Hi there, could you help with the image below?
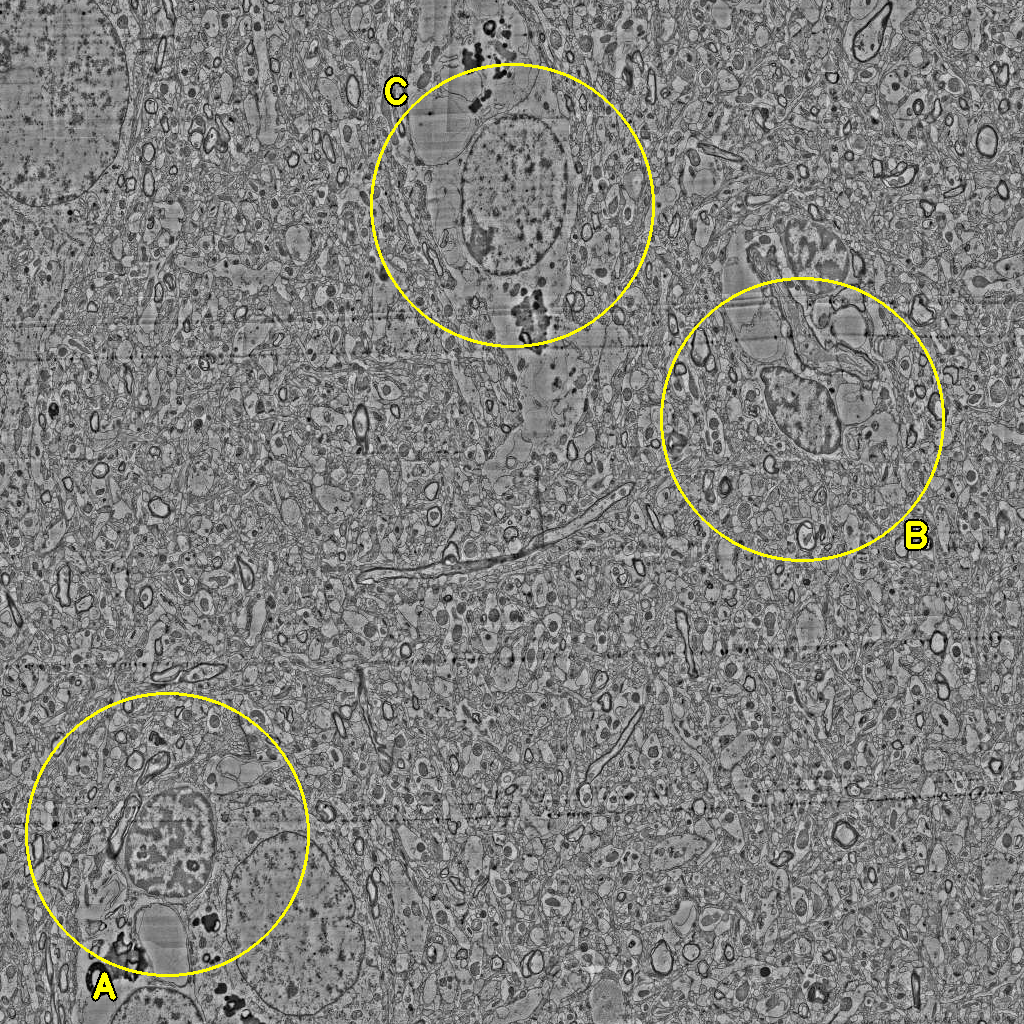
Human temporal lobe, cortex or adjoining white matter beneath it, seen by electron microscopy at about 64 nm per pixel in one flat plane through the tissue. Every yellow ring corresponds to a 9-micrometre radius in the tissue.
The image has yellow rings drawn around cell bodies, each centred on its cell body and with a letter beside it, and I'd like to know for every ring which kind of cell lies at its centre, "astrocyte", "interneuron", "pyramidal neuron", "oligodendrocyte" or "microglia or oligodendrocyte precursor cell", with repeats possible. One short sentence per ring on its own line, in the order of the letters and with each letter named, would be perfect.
Ring A is placed around an oligodendrocyte.
Ring B is placed around a microglial cell or oligodendrocyte precursor cell.
Ring C is placed around an astrocyte.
